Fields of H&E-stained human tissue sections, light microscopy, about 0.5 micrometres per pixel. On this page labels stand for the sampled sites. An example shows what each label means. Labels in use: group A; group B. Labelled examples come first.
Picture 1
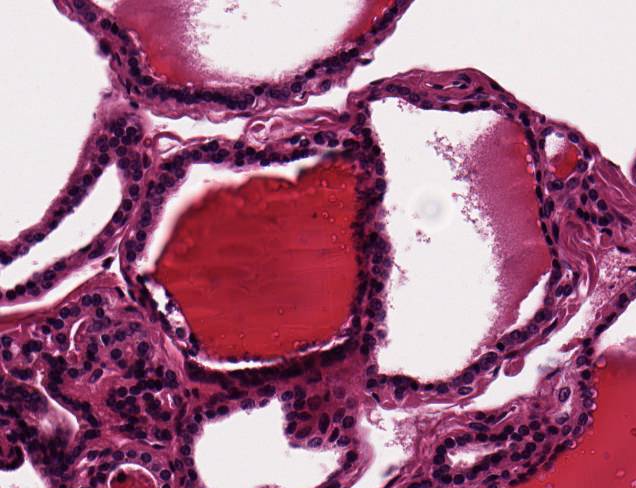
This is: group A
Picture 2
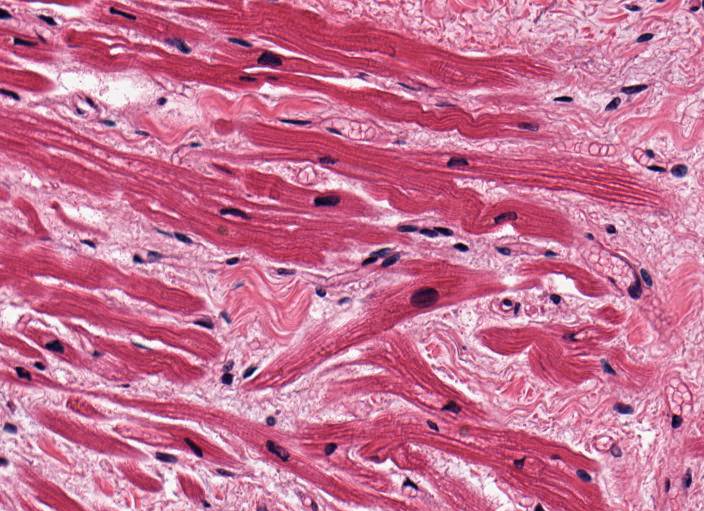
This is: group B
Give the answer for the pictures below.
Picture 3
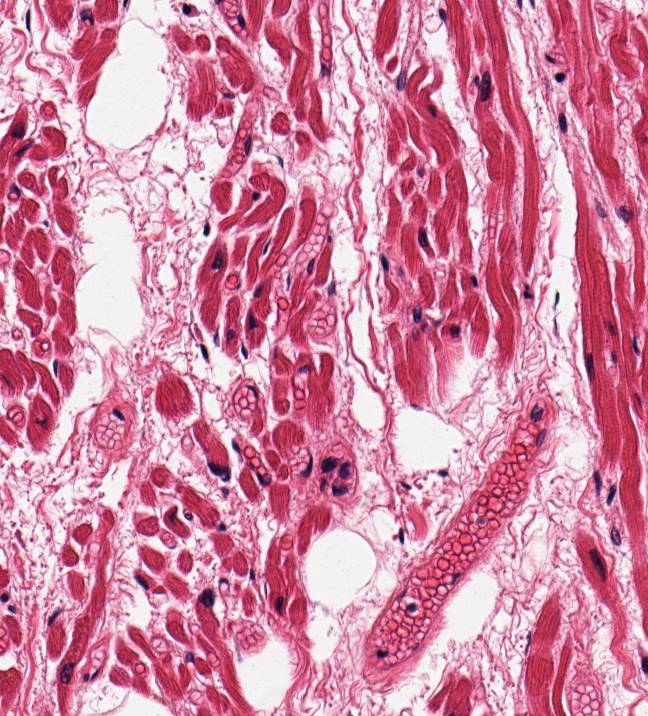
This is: group B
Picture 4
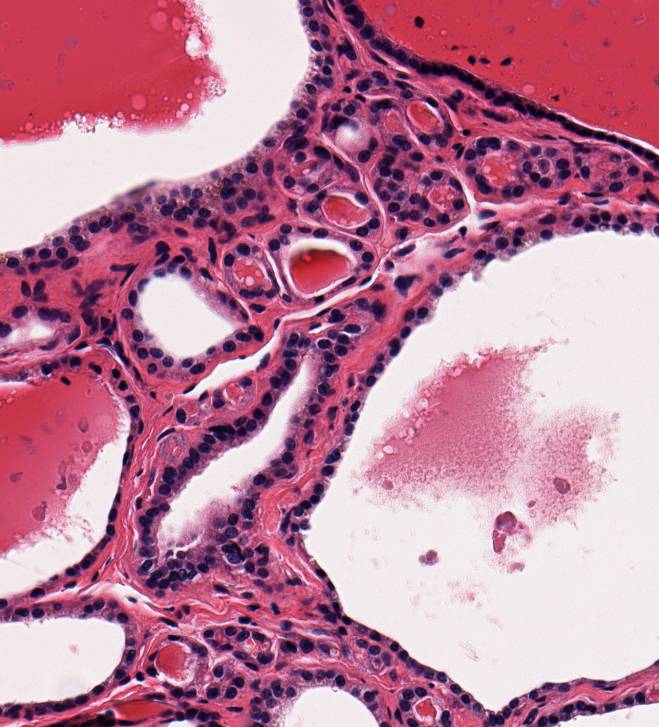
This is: group A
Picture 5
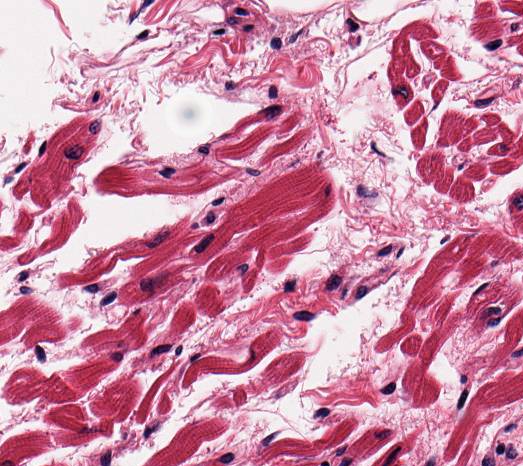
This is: group B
